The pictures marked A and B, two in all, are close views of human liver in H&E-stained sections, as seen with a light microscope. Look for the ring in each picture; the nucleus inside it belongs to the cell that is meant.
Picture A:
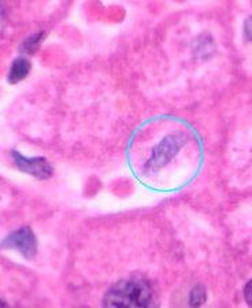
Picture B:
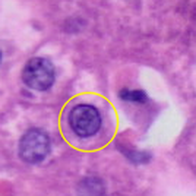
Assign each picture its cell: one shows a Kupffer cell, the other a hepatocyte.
A: Kupffer cell
B: hepatocyte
